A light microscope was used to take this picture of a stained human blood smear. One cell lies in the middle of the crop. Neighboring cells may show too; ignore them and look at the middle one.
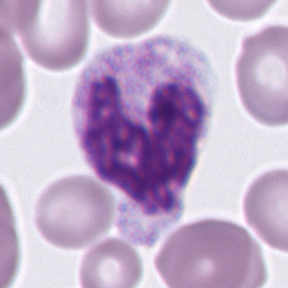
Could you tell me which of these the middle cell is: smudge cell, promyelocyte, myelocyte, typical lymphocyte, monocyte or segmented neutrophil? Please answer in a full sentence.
In the middle of this smear crop is a segmented neutrophil.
